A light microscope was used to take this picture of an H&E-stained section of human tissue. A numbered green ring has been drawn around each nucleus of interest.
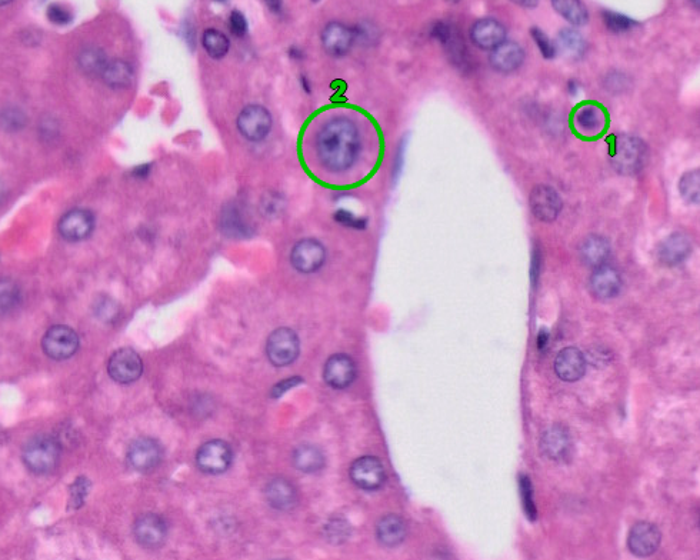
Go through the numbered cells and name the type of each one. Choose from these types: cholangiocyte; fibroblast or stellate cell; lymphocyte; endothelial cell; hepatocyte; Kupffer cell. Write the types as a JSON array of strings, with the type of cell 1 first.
["fibroblast or stellate cell", "hepatocyte"]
